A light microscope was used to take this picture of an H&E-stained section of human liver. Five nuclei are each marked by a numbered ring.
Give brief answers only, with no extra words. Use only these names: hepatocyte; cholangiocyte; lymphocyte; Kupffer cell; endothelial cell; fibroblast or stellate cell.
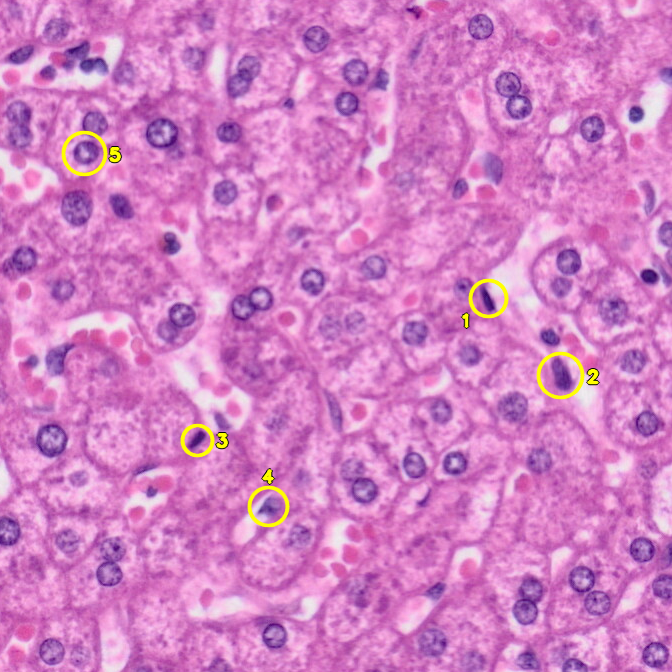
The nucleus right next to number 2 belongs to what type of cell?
lymphocyte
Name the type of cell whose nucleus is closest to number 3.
Kupffer cell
